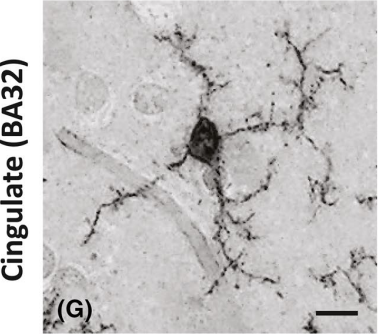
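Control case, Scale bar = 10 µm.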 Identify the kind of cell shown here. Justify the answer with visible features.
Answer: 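A small dark triangular-oval soma in the center. Thin, finely branched, beaded processes extend in many directions. Pale unstained neuronal profiles and a vessel lie nearby. The answer: microglia.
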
